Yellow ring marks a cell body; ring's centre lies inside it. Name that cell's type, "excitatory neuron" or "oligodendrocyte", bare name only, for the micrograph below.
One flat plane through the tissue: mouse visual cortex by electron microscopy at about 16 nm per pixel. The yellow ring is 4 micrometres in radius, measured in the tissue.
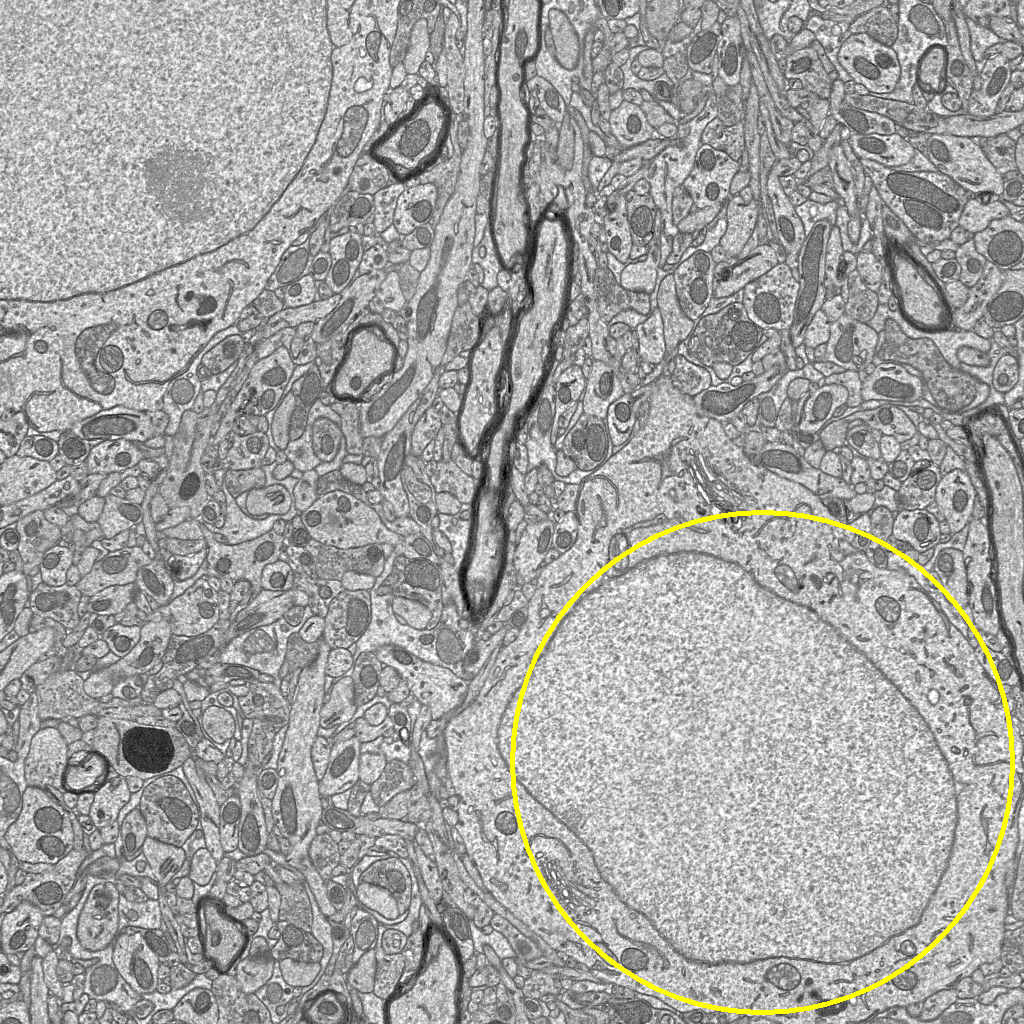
excitatory neuron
